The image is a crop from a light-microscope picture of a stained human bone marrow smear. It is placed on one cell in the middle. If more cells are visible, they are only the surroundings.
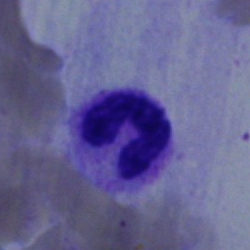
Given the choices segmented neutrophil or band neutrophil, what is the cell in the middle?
band neutrophil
